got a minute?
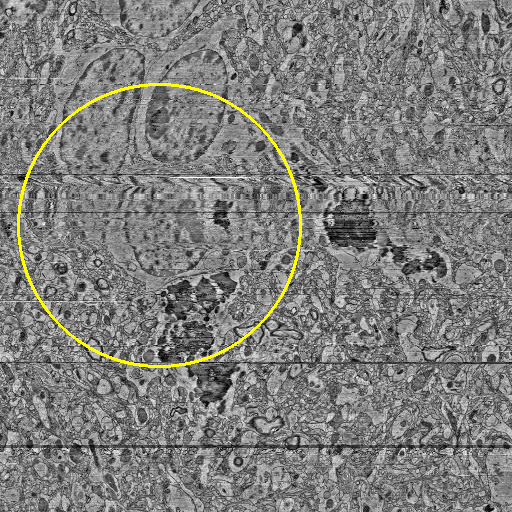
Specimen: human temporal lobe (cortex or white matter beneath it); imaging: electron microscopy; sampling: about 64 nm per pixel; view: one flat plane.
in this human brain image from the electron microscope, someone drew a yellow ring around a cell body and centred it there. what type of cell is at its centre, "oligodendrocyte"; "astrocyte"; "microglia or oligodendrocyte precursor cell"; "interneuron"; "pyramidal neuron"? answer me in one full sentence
It's an astrocyte at the middle of that yellow ring in the shot.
